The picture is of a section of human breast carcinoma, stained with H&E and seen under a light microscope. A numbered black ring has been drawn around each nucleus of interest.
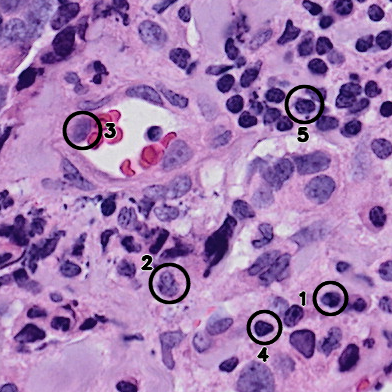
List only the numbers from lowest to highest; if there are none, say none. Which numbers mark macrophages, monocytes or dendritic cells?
2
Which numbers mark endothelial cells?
3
